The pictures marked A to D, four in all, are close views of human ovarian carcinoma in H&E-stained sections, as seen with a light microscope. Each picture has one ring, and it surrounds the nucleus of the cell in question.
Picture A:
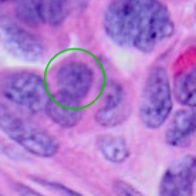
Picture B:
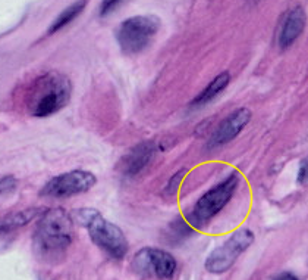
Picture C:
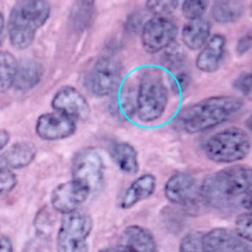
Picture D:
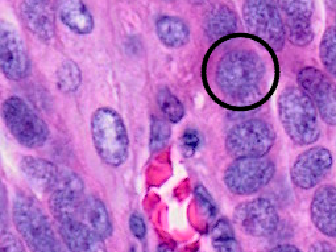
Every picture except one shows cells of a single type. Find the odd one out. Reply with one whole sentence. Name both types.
Unlike the rest, which show carcinoma cells, picture B shows a smooth muscle cell.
